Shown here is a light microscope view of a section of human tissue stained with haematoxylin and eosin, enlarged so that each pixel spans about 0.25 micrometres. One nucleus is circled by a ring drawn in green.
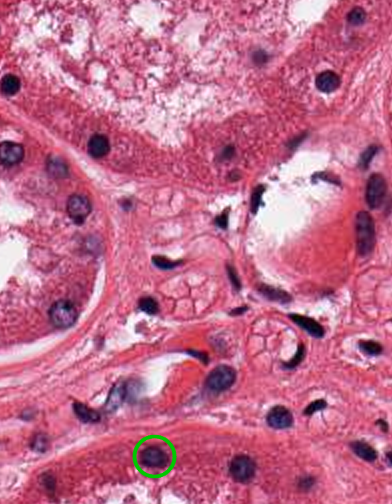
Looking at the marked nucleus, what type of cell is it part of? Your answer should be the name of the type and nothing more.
proximal tubule cell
